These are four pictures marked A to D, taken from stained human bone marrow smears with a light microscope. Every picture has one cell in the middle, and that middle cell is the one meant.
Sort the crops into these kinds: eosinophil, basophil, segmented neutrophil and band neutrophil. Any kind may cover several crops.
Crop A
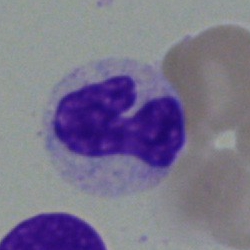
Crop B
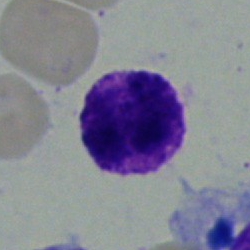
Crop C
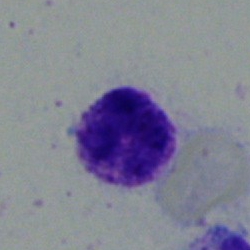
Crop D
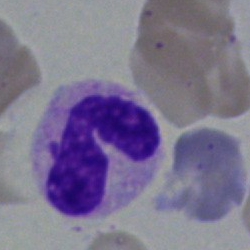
A: band neutrophil
B: basophil
C: basophil
D: band neutrophil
